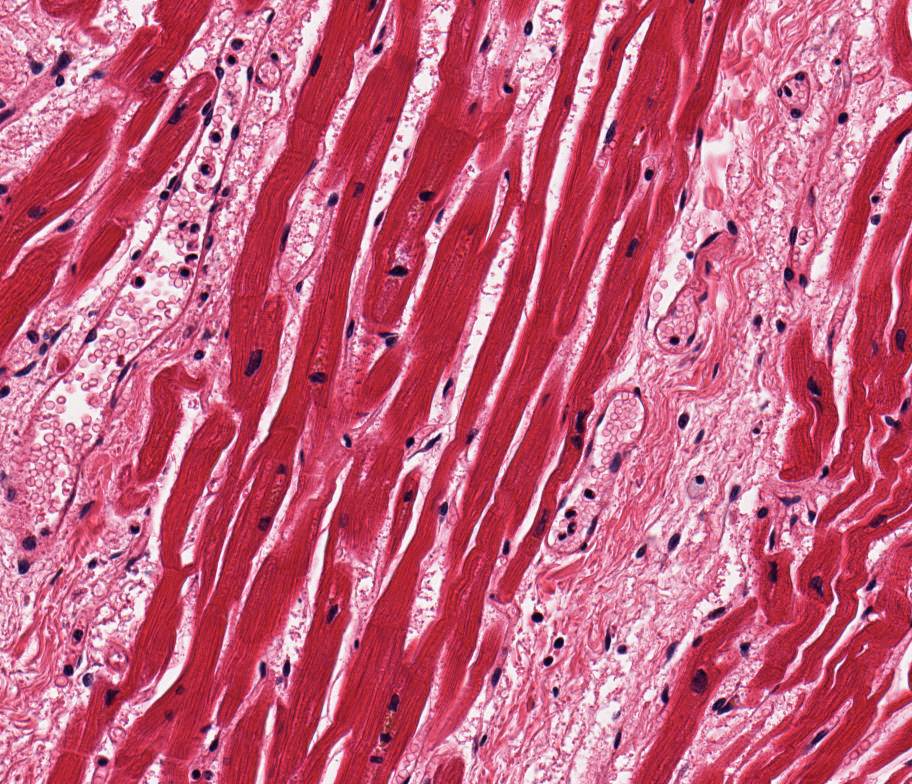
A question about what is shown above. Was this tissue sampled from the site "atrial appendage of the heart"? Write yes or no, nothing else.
no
